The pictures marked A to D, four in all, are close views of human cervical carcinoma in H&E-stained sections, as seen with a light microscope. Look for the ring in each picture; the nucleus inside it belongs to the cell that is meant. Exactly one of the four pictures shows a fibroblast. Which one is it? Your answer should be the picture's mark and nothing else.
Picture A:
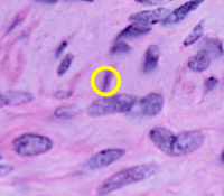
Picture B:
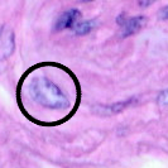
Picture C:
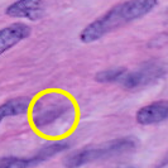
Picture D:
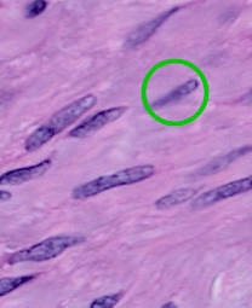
D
